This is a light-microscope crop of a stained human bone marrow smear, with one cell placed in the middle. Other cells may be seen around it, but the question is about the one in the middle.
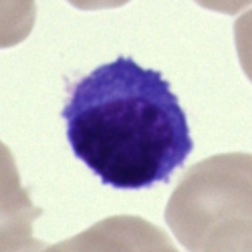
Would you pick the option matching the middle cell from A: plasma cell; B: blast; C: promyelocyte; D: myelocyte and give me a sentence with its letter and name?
The cell in the center of this crop is a plasma cell, so option A is the one to pick.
